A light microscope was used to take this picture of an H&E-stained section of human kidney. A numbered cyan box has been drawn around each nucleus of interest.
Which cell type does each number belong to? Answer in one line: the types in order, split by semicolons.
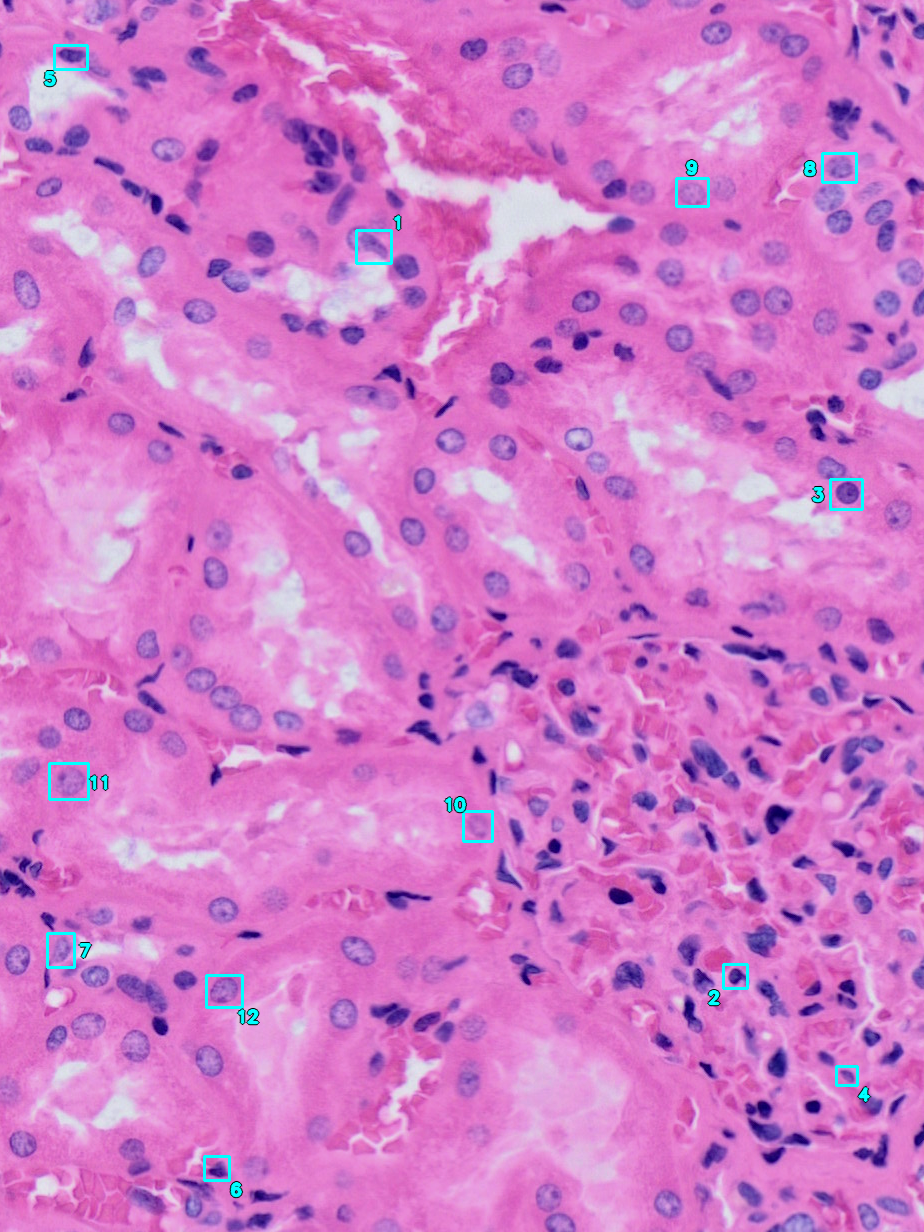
collecting duct cell; endothelial cell; proximal tubule cell; endothelial cell; collecting duct cell; endothelial cell; collecting duct cell; collecting duct cell; proximal tubule cell; proximal tubule cell; proximal tubule cell; proximal tubule cell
